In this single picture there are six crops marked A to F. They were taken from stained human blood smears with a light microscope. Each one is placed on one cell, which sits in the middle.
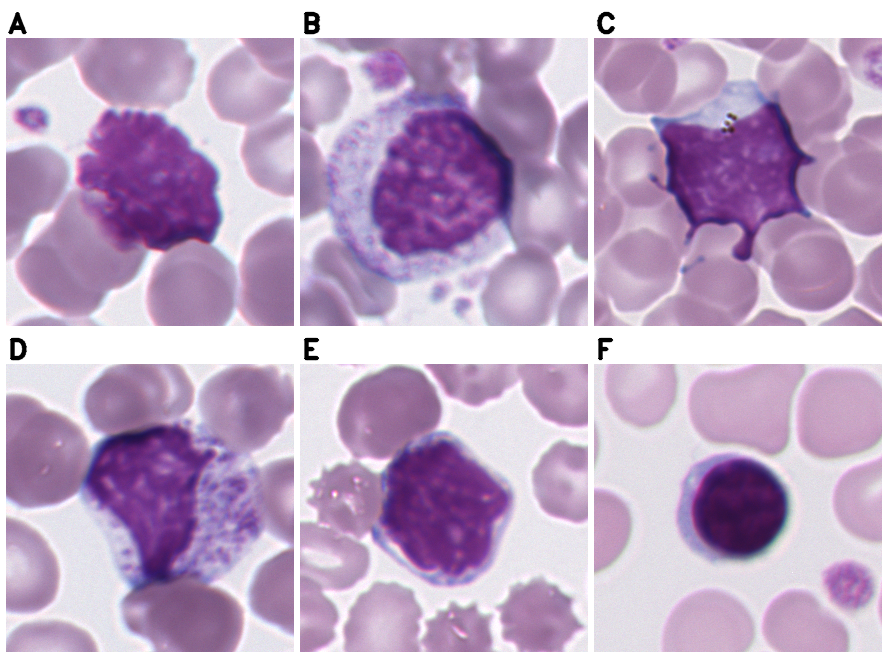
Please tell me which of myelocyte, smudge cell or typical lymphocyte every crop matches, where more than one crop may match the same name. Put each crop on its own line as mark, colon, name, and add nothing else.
A: smudge cell
B: myelocyte
C: typical lymphocyte
D: myelocyte
E: typical lymphocyte
F: typical lymphocyte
